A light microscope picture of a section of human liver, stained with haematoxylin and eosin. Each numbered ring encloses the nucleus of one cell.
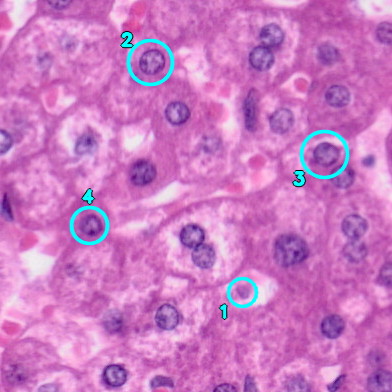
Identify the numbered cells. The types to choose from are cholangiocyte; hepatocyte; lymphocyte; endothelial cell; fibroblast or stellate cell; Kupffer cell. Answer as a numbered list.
1. Kupffer cell
2. hepatocyte
3. hepatocyte
4. hepatocyte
